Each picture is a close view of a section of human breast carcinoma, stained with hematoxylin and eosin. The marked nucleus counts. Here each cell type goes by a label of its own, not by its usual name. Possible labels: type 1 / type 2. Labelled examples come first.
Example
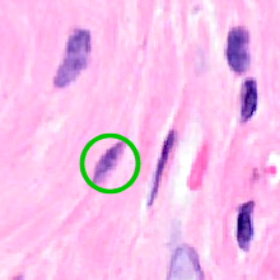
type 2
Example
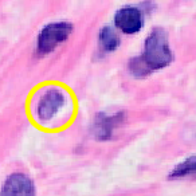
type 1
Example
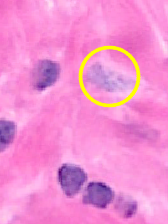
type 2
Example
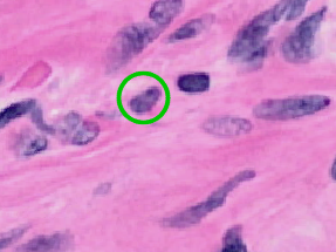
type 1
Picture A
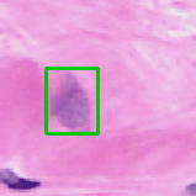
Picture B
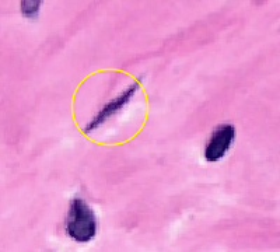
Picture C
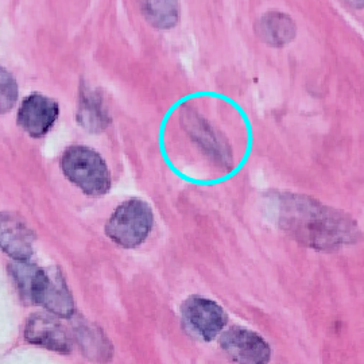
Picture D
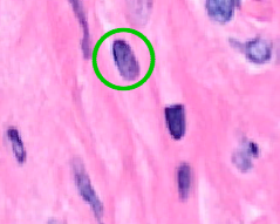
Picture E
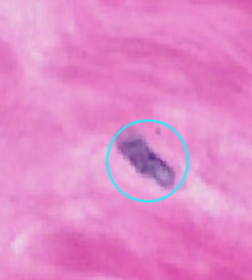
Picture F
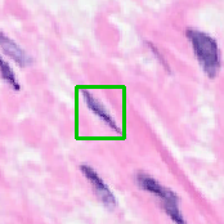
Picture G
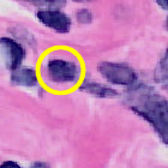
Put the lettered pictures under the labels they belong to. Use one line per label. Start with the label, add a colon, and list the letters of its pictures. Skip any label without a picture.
type 1: D, G
type 2: A, B, C, E, F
